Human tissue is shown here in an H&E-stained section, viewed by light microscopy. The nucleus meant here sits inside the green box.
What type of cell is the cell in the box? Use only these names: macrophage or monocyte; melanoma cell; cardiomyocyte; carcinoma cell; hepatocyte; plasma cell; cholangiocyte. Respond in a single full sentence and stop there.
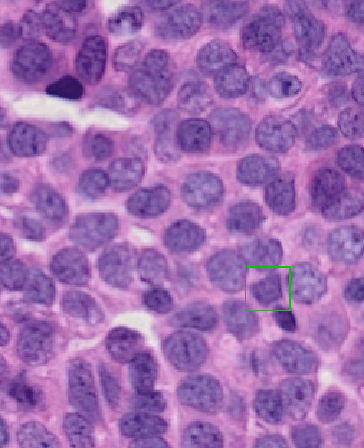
Students should answer that the cell in the box is a carcinoma cell.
